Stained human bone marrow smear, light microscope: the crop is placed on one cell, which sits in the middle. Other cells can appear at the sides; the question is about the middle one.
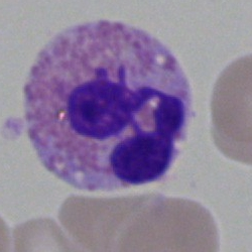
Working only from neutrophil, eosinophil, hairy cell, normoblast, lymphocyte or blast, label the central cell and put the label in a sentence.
The cell positioned in the middle of the field is an eosinophil.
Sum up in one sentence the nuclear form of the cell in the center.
This cell has a nucleus made up of two or more segments.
